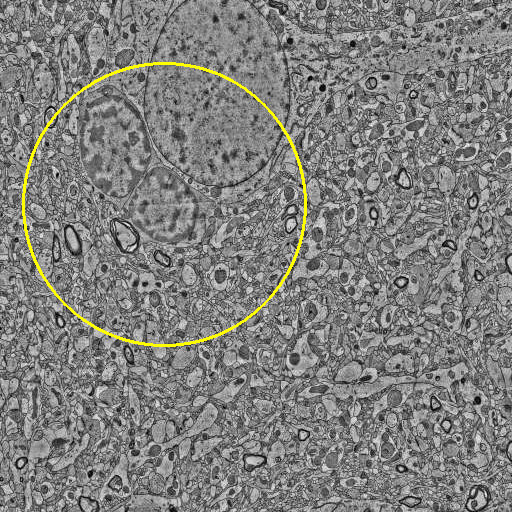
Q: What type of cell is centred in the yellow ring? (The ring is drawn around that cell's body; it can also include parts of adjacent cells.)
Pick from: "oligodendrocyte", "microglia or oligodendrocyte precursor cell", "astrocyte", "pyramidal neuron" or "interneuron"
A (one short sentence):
The yellow ring is centred on an oligodendrocyte.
